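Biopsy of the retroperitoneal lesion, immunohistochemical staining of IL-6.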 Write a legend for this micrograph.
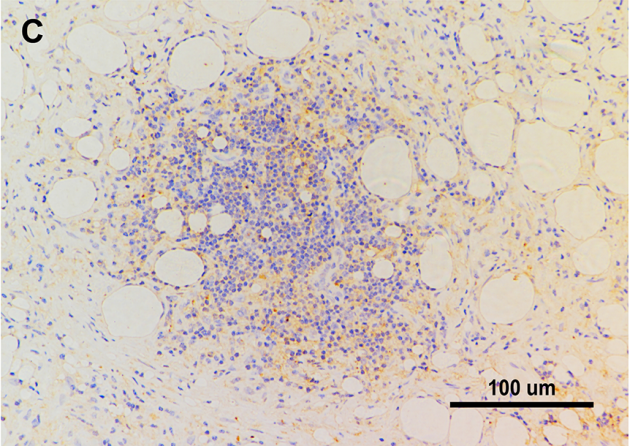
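A faint yellow-brown stain is spread among the cells of the cluster, most noticeably around its edges. In the surrounding tissue, scattered spindle-shaped and oval blue nuclei lie between the empty spaces, with only weak brownish tinting.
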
